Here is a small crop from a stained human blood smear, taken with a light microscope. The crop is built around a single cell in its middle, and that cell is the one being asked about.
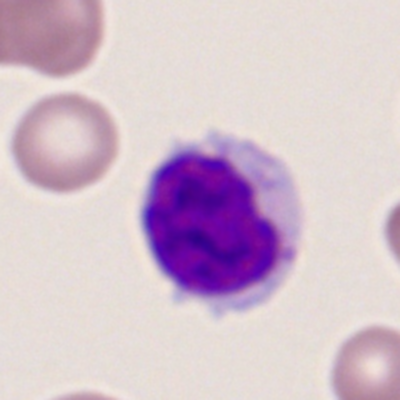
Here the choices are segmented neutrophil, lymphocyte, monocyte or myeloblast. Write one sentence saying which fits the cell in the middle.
Classification of the middle cell gives a lymphocyte.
